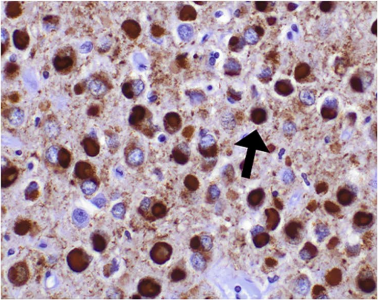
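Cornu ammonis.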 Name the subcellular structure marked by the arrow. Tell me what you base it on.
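Pick bodies. Many neurons contain a round, sharply defined, dark brown cytoplasmic inclusion.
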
